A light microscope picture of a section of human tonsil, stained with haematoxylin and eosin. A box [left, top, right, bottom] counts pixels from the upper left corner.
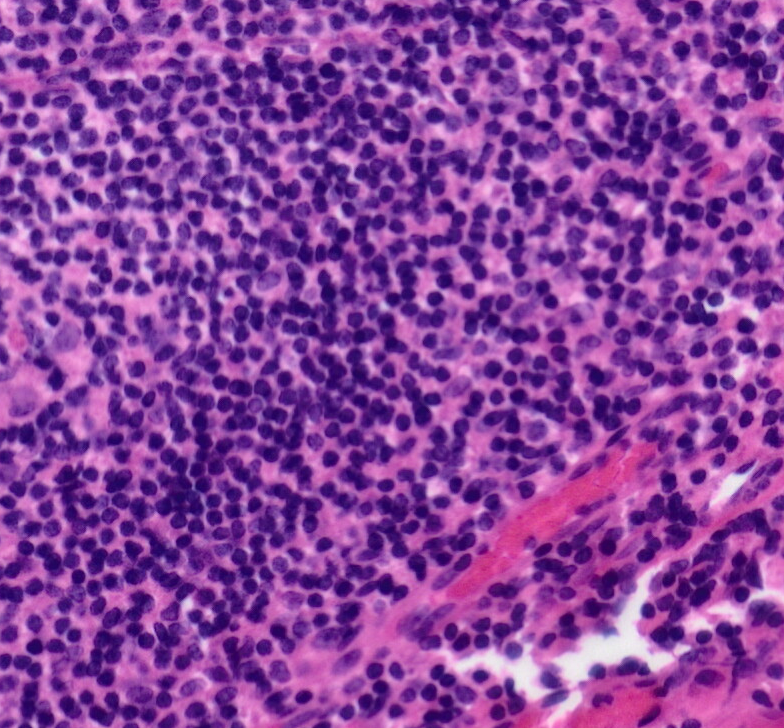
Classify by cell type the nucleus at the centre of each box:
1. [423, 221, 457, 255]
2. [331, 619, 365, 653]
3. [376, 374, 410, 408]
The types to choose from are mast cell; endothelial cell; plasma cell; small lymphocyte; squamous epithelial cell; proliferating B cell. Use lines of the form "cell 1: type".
cell 1: small lymphocyte
cell 2: endothelial cell
cell 3: small lymphocyte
